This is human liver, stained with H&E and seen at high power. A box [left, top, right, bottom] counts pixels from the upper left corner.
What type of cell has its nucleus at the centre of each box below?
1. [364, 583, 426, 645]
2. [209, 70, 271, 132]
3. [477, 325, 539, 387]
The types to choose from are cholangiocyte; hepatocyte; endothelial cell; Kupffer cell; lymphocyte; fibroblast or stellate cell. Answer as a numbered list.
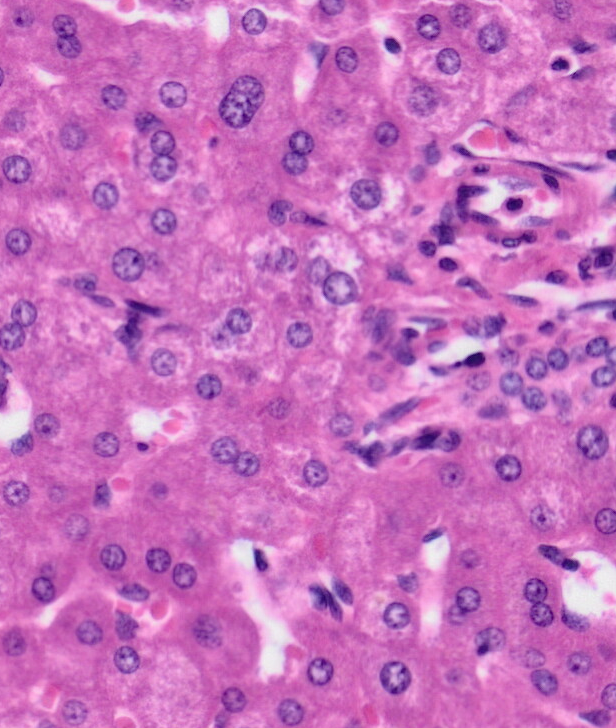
1. hepatocyte
2. hepatocyte
3. cholangiocyte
